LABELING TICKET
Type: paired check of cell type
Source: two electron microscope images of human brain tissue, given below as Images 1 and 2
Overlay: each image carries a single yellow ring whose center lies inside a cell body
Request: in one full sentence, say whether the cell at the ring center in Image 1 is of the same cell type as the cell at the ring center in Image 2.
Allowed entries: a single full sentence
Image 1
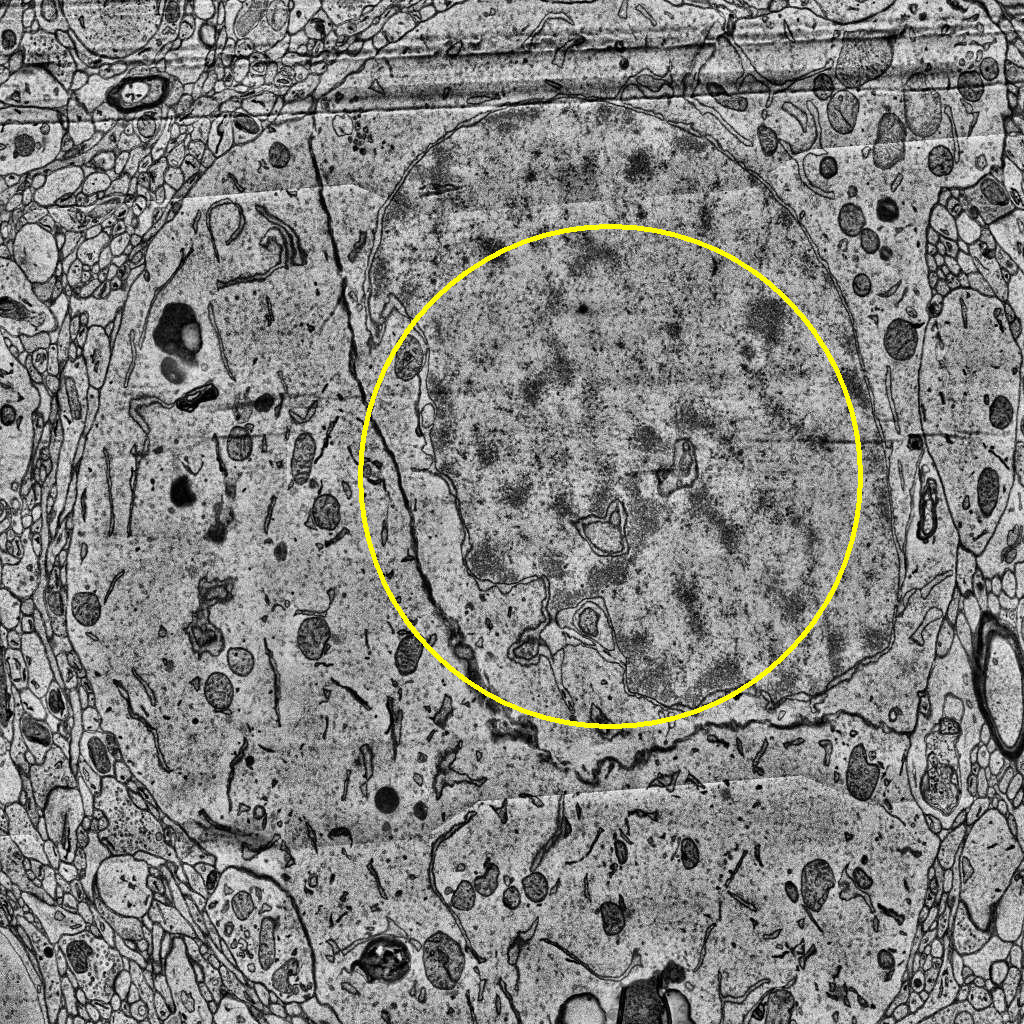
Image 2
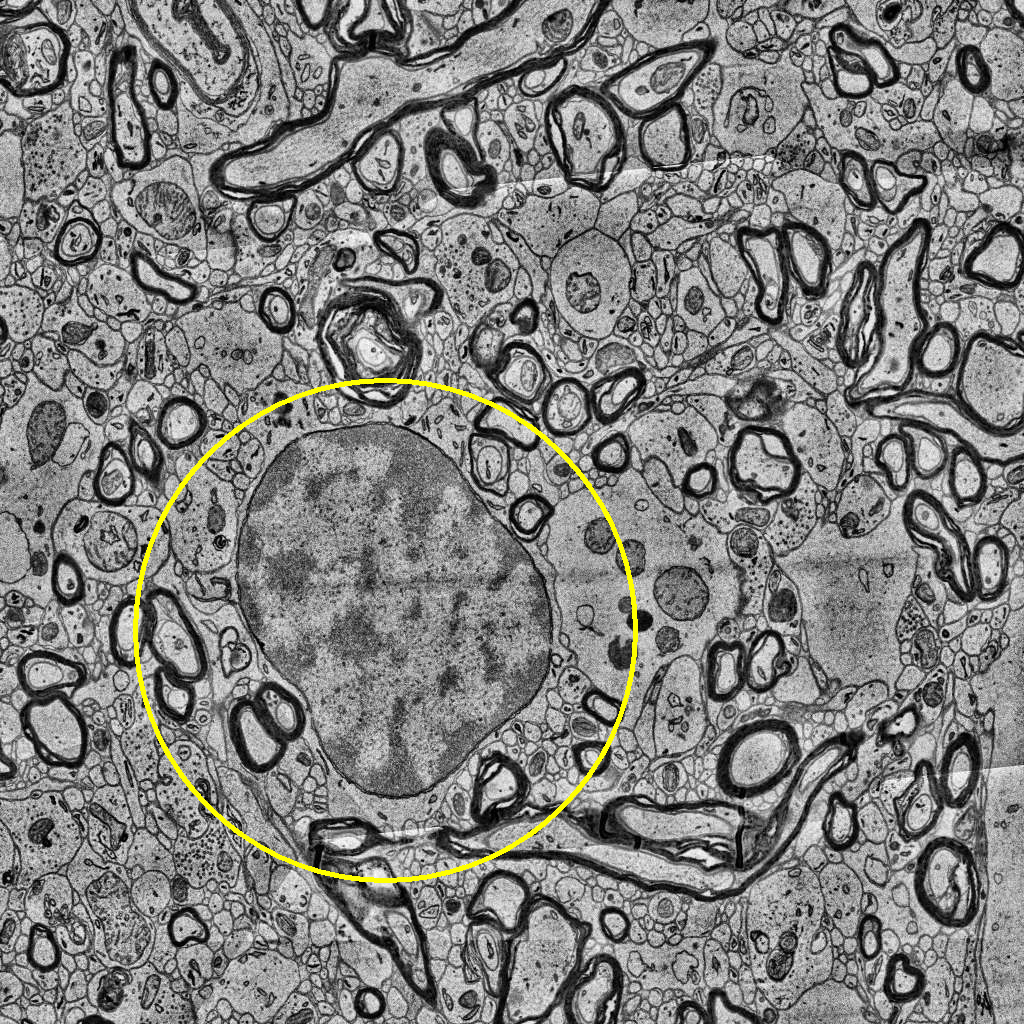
No, the cells at the ring centers of Image 1 and Image 2 are of two types.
